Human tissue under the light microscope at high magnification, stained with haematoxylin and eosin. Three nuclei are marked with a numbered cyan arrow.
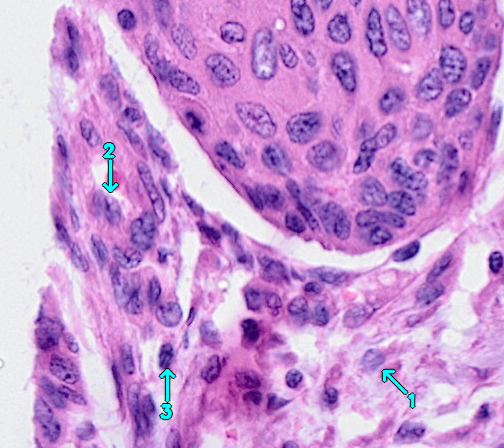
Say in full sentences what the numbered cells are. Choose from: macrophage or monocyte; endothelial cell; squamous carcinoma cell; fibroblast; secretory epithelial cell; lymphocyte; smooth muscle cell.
Cell 1 is a fibroblast. Cell 2 is an endothelial cell. Cell 3 is a lymphocyte.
